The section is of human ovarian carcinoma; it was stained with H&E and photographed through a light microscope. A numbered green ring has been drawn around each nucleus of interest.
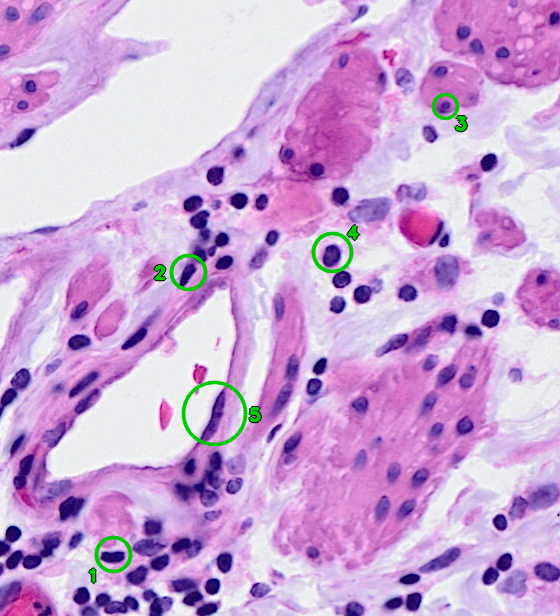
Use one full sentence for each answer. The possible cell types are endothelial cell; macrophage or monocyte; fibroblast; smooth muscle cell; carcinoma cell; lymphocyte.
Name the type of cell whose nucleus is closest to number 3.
The nucleus nearest to number 3 is that of a lymphocyte.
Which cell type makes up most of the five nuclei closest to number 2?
The majority of the five nuclei closest to number 2 belong to lymphocytes.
